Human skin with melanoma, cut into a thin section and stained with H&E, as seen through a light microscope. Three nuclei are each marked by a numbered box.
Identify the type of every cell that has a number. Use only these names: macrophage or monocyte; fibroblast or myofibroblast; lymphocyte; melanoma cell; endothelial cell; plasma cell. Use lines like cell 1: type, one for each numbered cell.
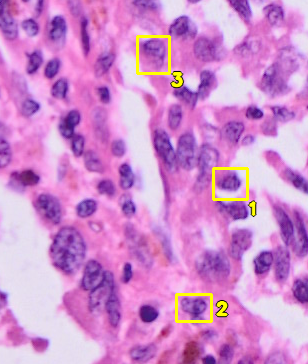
cell 1: melanoma cell
cell 2: lymphocyte
cell 3: melanoma cell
